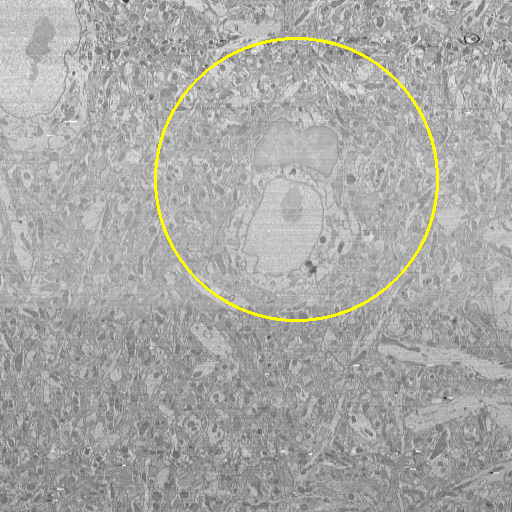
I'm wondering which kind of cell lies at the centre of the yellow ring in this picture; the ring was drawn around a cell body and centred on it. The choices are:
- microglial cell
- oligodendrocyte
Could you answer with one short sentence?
At the centre of the ring lies a microglial cell.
